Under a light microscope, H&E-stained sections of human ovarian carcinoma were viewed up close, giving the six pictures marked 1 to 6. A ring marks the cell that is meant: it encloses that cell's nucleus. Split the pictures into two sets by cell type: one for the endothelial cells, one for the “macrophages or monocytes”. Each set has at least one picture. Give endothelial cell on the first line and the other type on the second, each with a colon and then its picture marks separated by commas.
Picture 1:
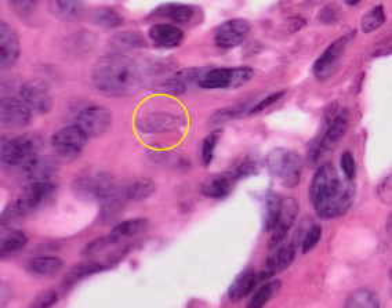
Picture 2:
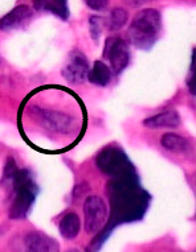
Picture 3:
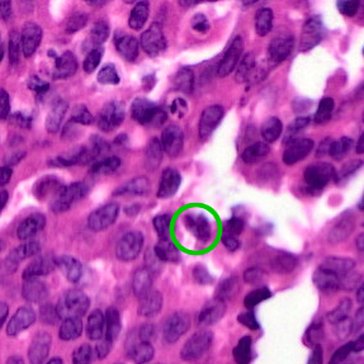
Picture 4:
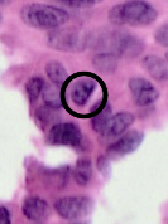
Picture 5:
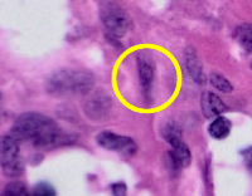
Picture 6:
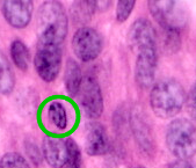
endothelial cell: 1, 2, 5
macrophage or monocyte: 3, 4, 6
